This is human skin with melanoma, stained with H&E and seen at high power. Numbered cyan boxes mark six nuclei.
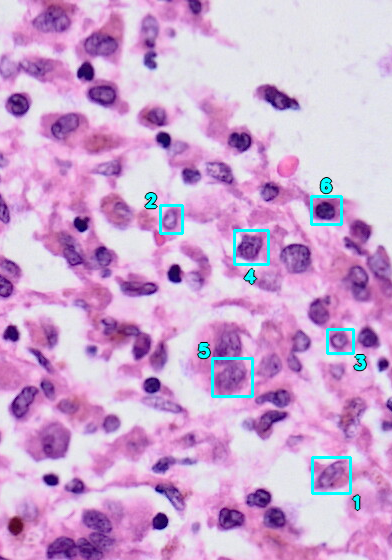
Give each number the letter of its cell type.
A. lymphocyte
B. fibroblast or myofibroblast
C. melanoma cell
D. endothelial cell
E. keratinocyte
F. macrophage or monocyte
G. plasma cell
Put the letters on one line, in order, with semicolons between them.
F; F; F; C; C; G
